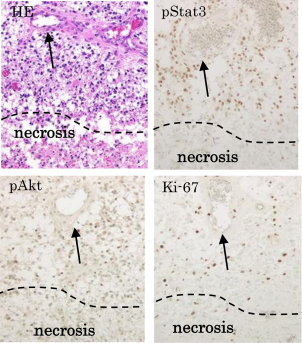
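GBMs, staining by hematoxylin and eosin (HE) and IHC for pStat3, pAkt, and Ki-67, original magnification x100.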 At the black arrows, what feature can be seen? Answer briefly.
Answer: Vessels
